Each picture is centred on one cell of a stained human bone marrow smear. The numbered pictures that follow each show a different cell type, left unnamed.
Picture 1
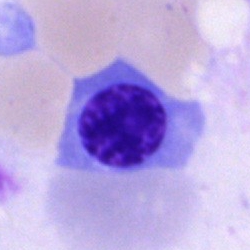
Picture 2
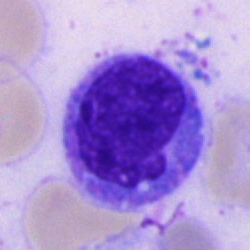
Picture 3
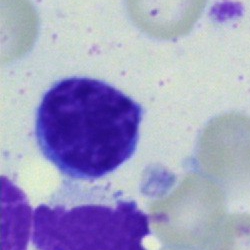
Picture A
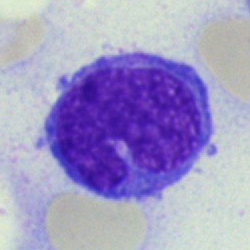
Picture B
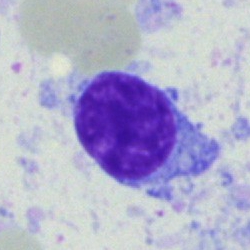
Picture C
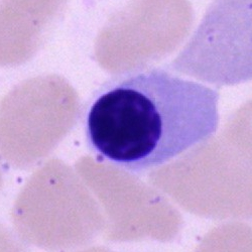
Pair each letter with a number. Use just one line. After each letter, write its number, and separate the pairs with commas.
A 2, B 3, C 1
